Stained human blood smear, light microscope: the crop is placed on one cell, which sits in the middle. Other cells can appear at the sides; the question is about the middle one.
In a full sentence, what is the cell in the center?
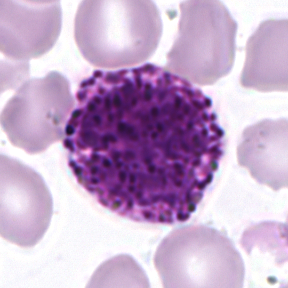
The cell centred in this crop is categorized as a basophil.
